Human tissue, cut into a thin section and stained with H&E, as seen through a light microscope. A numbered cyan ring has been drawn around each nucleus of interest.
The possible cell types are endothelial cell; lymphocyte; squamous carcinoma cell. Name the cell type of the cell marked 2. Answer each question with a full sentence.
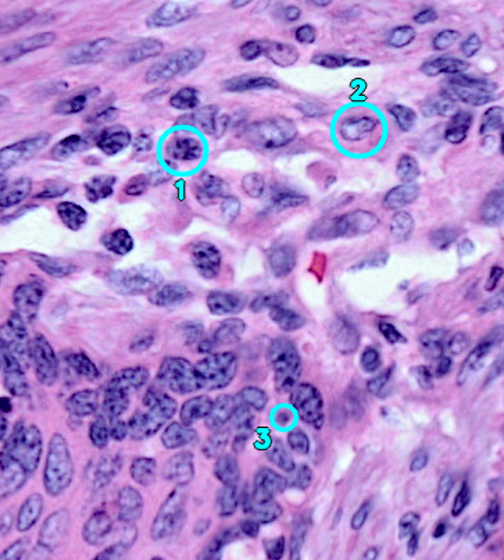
The cell whose nucleus carries the number 2 is an endothelial cell.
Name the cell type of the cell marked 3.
Cell 3 of the marked set is a squamous carcinoma cell.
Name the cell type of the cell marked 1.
Looking at the numbered marks, cell 1 is a lymphocyte.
